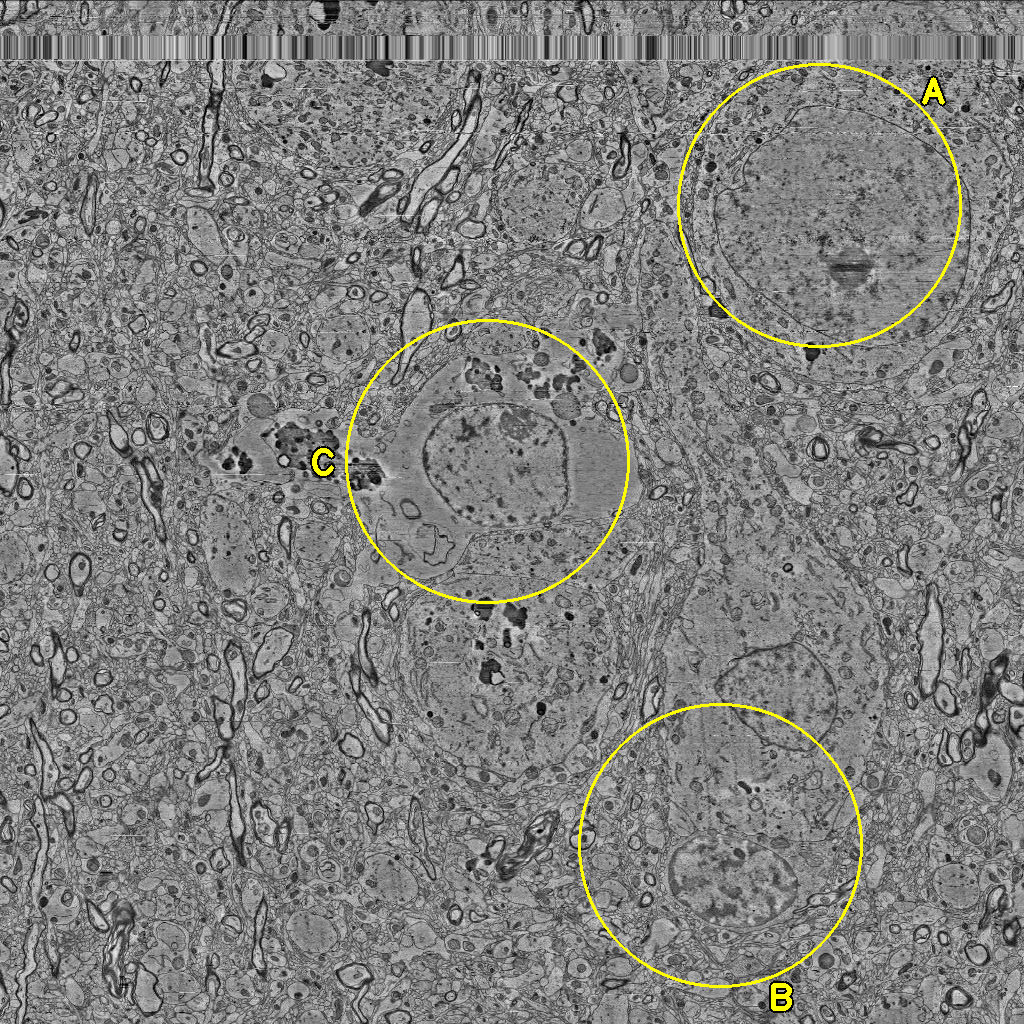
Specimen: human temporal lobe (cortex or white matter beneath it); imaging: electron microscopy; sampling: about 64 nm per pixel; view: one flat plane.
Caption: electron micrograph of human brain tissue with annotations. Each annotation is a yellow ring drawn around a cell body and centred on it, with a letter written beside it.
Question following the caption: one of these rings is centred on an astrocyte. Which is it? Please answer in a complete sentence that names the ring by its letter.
The ring with the letter C is centred on it.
